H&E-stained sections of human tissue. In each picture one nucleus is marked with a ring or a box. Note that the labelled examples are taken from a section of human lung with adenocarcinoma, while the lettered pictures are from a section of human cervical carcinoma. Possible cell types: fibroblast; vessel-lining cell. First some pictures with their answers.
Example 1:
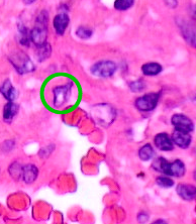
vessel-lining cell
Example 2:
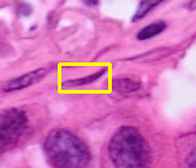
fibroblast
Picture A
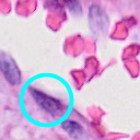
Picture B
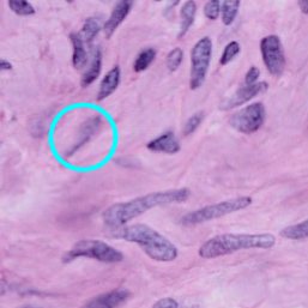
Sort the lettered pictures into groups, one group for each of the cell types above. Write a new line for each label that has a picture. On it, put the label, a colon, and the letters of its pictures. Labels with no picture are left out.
fibroblast: B
vessel-lining cell: A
